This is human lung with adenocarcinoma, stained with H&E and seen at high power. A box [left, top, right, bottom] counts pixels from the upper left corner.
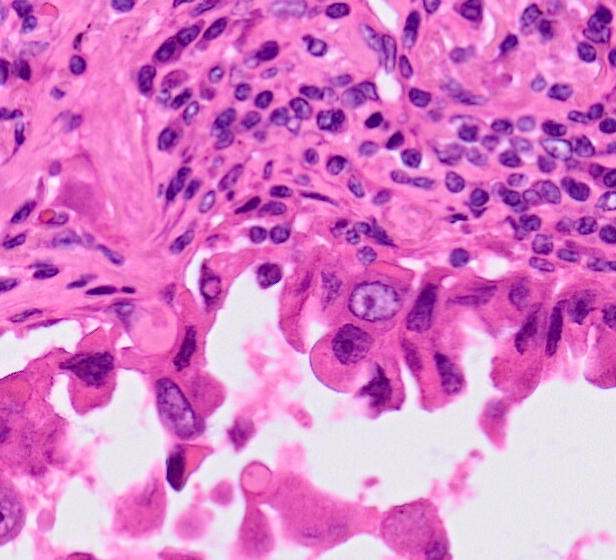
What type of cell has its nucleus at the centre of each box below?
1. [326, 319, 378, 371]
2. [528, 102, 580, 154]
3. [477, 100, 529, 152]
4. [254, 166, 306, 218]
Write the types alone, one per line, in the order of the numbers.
carcinoma cell
lymphocyte
lymphocyte
lymphocyte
